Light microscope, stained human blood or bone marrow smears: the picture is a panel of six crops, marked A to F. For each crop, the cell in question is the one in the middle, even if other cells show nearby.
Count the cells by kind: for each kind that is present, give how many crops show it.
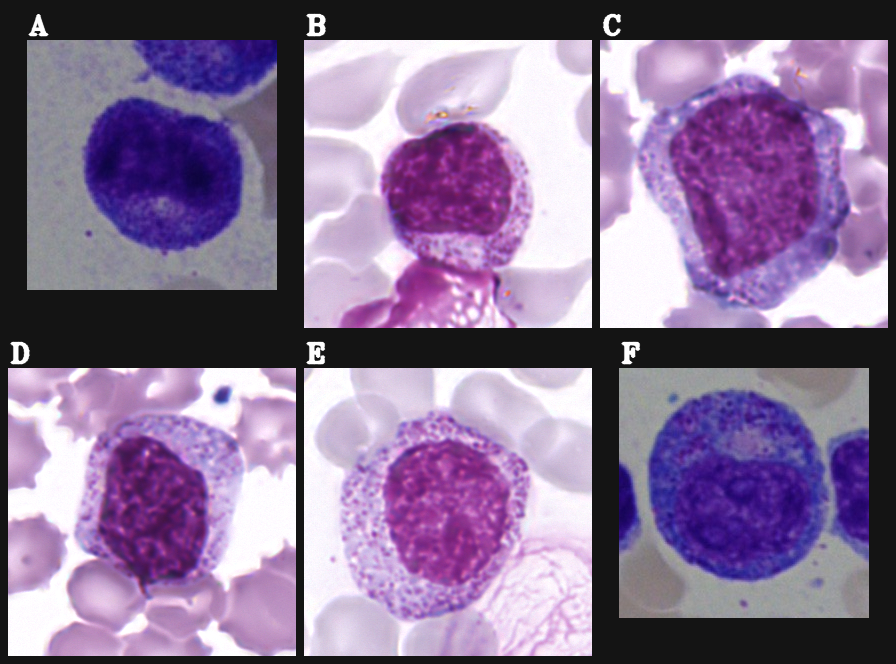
promyelocyte: 3
myelocyte: 3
